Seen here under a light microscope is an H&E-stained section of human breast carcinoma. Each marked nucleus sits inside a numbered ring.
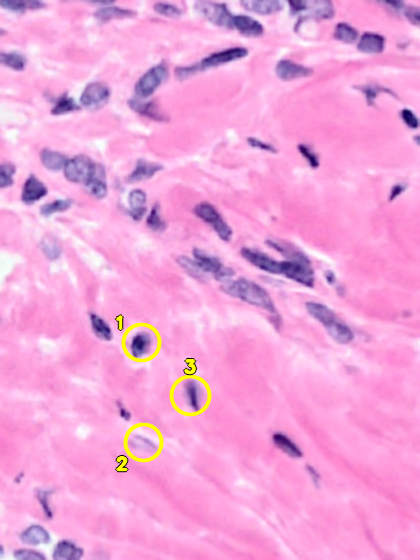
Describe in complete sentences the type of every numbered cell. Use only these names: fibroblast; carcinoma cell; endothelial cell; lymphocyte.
Cell 1 is a lymphocyte, cell 2 is a fibroblast and cell 3 is a fibroblast.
